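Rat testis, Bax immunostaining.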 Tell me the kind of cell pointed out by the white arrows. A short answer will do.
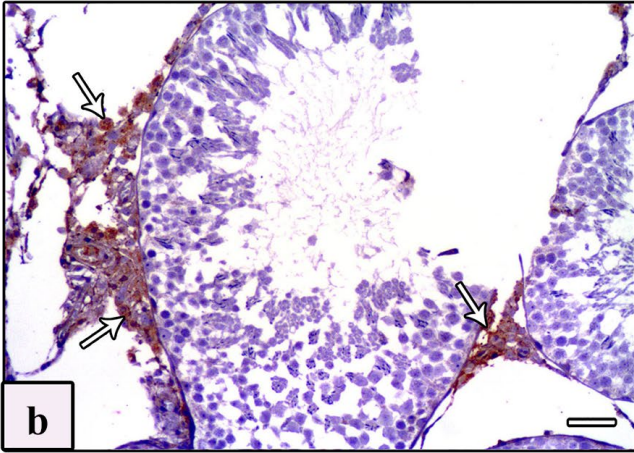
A: Interstitial cells of Leydig.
